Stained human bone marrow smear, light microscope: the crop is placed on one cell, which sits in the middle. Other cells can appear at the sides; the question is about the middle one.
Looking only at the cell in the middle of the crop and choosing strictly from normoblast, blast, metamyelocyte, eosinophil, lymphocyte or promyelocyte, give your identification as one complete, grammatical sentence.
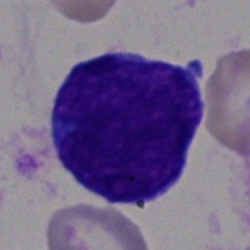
Standing at the centre of this crop is a blast.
